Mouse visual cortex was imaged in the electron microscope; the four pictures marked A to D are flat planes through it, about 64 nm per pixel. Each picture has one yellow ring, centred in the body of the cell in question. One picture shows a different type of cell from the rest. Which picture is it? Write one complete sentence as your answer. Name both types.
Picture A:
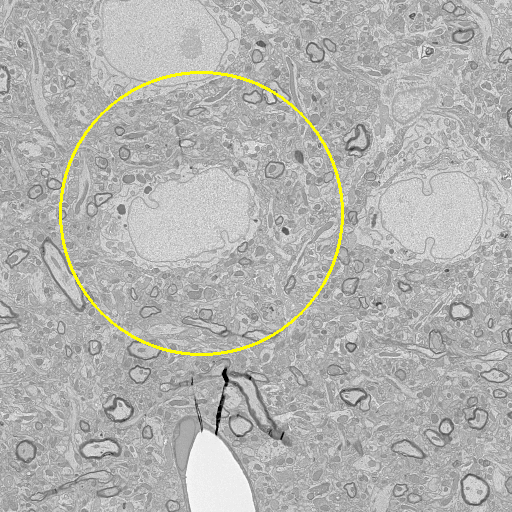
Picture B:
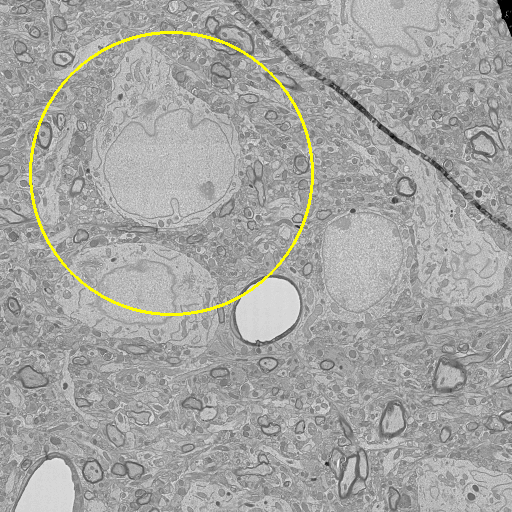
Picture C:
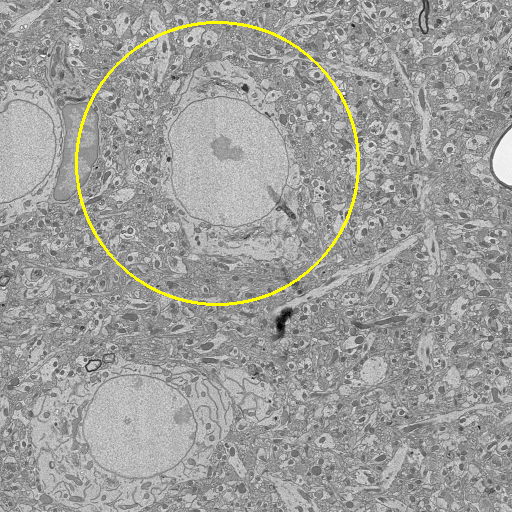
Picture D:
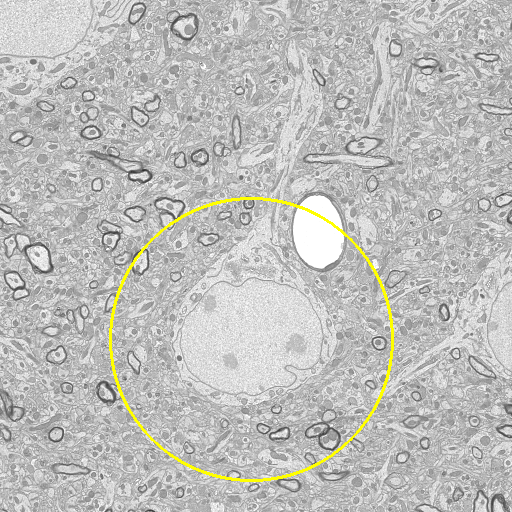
The others show excitatory neurons, but picture A shows an inhibitory neuron.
